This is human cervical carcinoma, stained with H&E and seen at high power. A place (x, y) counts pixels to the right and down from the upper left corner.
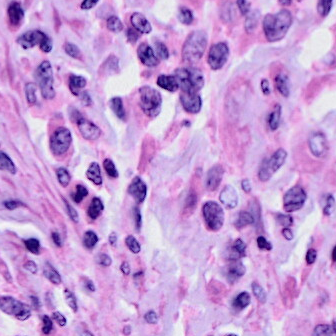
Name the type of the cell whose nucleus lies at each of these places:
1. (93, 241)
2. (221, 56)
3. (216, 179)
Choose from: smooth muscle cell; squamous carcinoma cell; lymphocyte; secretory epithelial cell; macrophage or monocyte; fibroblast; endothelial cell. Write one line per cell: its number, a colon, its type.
1: lymphocyte
2: lymphocyte
3: macrophage or monocyte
